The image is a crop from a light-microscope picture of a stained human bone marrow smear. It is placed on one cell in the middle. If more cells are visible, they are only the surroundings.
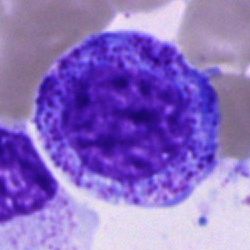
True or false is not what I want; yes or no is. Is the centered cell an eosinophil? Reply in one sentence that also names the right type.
No, a promyelocyte rather than an eosinophil is the cell at the centre of the crop.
